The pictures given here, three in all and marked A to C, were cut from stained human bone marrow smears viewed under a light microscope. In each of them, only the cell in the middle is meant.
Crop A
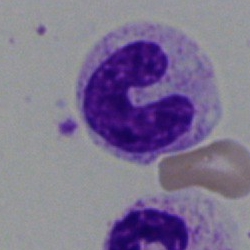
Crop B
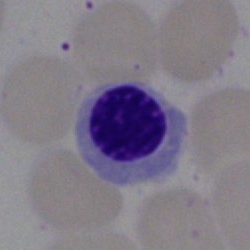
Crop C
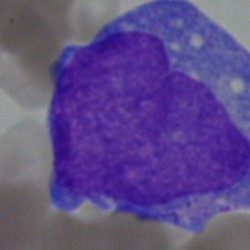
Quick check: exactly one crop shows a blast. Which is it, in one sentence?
Look at crop C; that is the one with a blast in its center.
